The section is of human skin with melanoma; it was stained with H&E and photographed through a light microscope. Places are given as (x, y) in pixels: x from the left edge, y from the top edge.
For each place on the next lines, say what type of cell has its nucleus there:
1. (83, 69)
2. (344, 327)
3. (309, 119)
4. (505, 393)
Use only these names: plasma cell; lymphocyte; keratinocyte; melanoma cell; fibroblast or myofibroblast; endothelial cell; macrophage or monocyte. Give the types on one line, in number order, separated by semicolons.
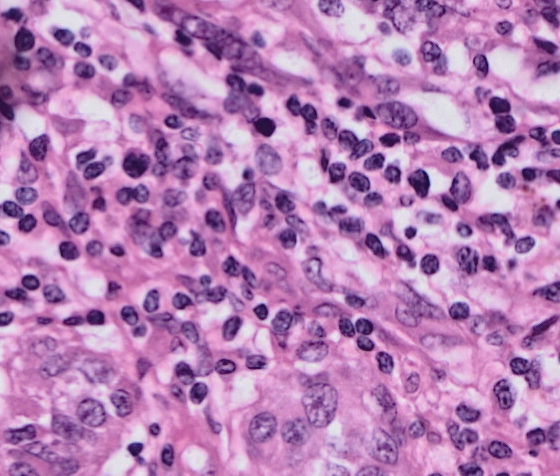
lymphocyte; lymphocyte; lymphocyte; plasma cell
